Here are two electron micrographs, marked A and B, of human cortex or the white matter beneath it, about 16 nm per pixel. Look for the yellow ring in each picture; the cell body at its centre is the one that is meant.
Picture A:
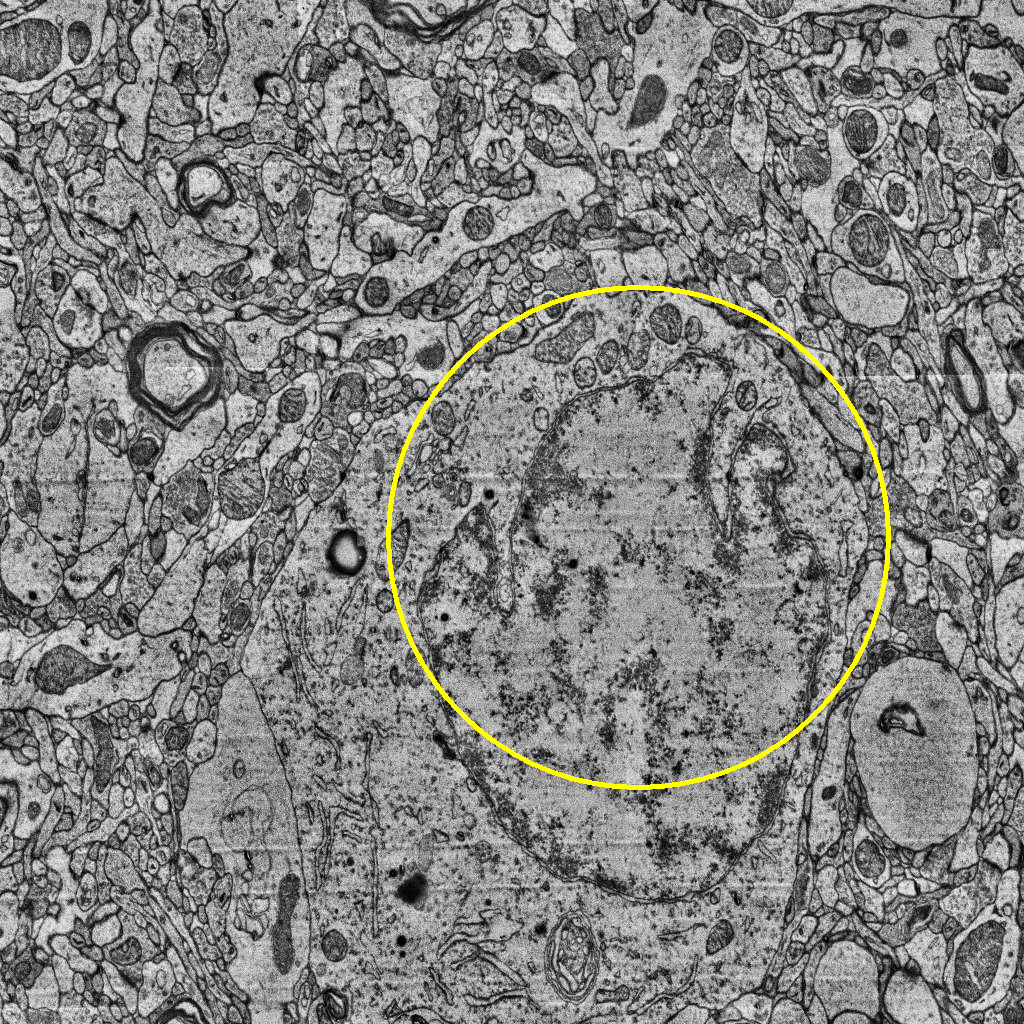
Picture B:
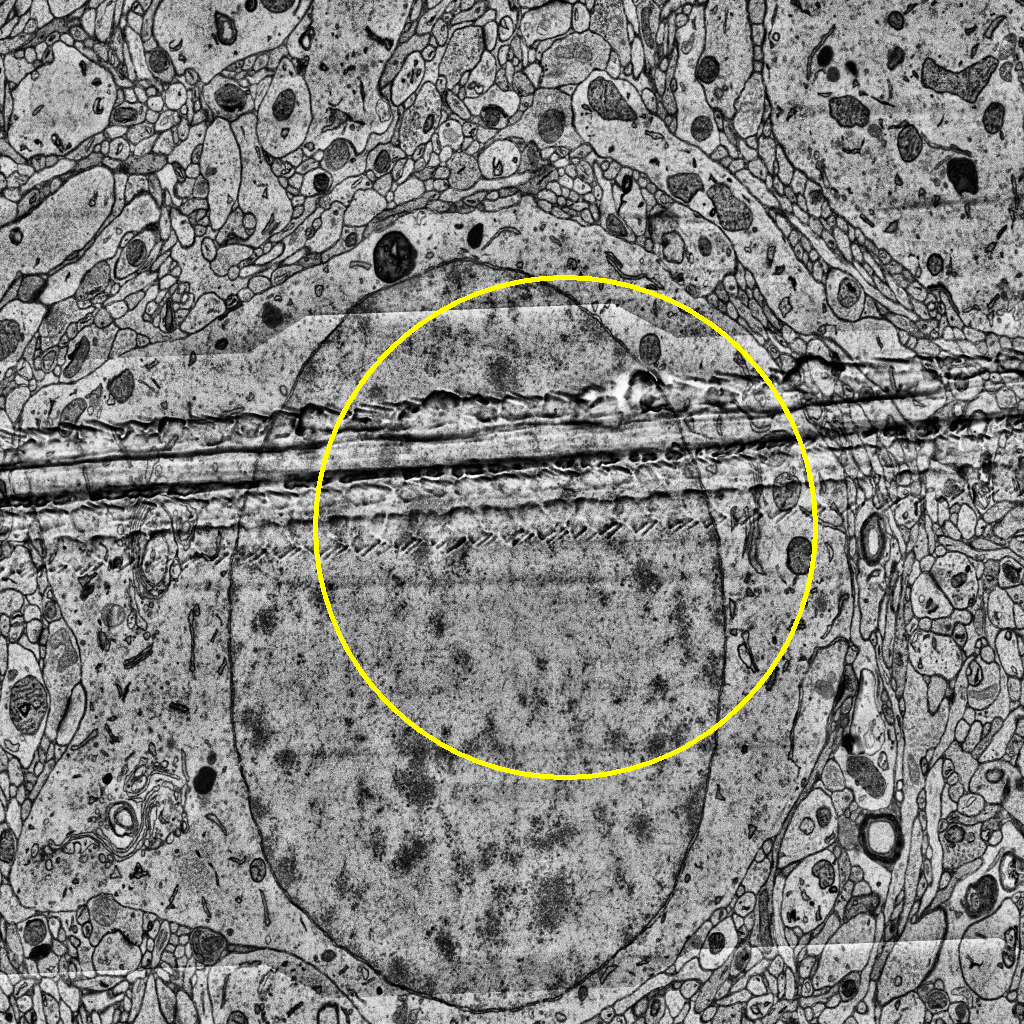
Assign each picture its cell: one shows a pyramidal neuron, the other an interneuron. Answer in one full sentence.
Picture A is of an interneuron, and picture B is of a pyramidal neuron.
